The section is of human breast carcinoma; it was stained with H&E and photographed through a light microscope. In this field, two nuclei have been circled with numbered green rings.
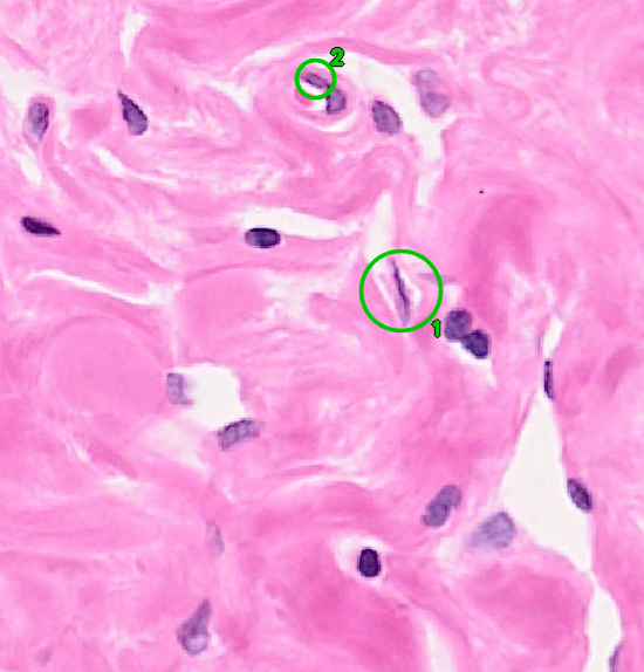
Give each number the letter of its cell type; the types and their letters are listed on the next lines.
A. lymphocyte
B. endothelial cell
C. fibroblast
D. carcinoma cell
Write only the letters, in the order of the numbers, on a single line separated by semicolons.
C; B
